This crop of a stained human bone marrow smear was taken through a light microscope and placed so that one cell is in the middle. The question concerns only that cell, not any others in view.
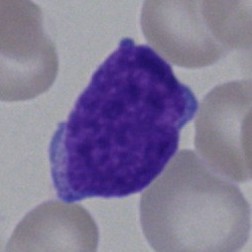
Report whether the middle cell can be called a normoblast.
no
